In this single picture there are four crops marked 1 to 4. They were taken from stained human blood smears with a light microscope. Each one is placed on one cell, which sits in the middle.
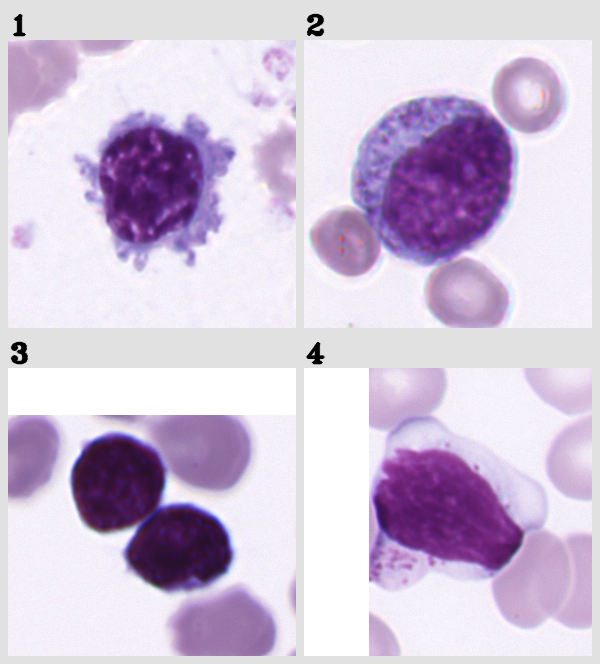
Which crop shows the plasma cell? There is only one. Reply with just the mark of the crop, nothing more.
1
